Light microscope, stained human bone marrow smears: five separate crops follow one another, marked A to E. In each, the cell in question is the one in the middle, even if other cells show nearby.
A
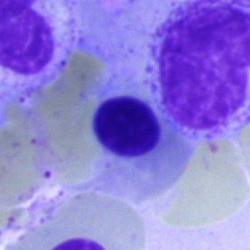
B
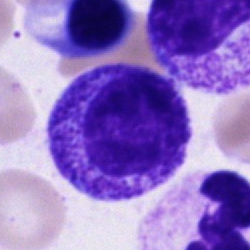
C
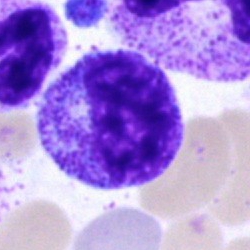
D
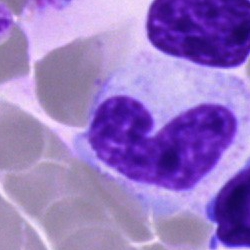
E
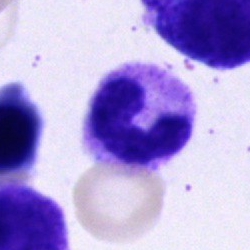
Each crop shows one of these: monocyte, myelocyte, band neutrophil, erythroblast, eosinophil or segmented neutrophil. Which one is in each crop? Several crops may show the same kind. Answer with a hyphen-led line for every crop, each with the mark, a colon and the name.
- A: erythroblast
- B: myelocyte
- C: myelocyte
- D: band neutrophil
- E: band neutrophil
